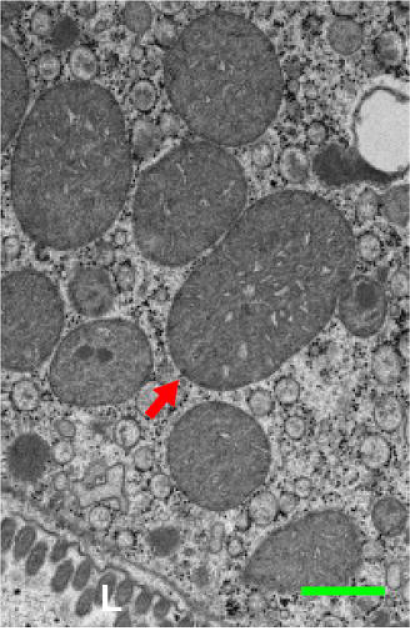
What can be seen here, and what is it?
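This electron micrograph shows intestinal cell cytoplasm crowded with mitochondria that are large and round rather than tubular, packed closely together. Their interiors show fine inner membrane folds, and numerous small round vesicles lie in the cytoplasm between them; microvilli of the lumenal surface are seen at the bottom edge.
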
